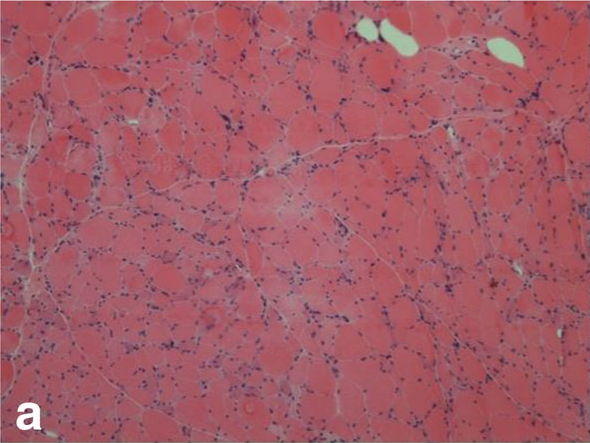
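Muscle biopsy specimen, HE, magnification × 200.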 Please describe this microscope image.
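Many small atrophic fibers lie scattered among larger ones. Dark purple nuclei are numerous along the fiber borders and in the narrow spaces between fibers.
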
